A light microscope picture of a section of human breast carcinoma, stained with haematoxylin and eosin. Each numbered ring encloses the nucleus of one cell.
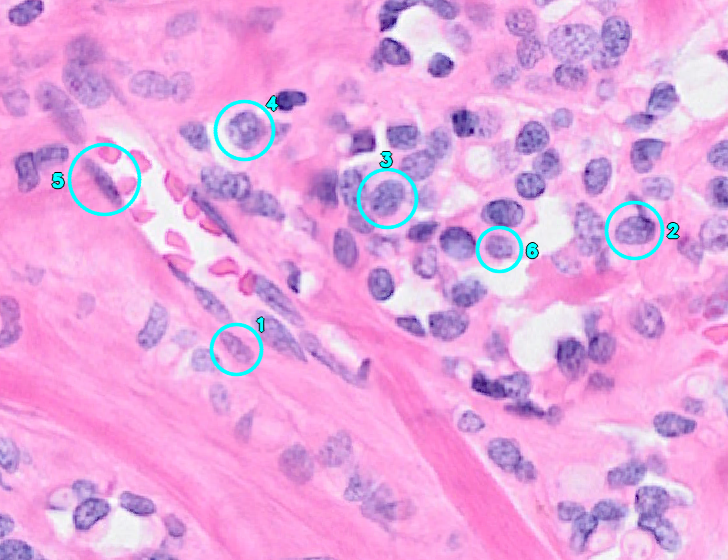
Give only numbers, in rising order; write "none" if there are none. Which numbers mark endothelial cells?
1, 5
